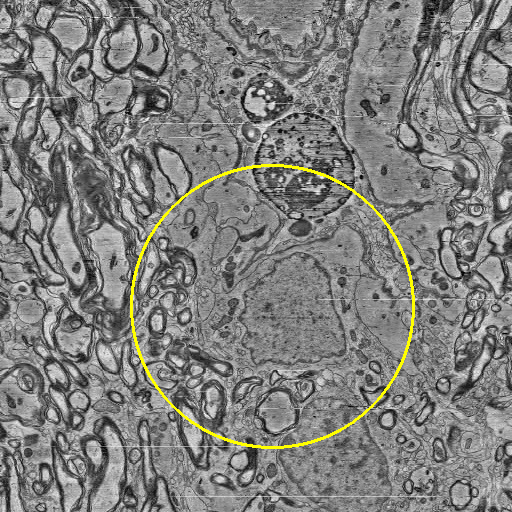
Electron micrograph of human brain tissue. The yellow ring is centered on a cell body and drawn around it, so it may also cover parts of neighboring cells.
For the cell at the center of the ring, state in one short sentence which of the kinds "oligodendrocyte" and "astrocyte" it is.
This ring is centered on an astrocyte.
